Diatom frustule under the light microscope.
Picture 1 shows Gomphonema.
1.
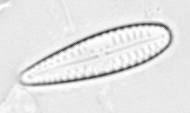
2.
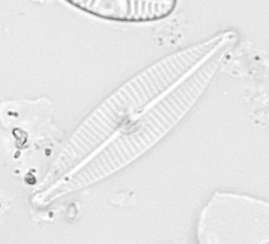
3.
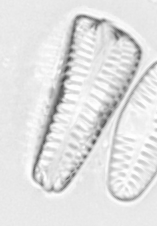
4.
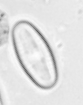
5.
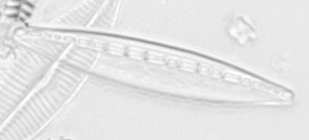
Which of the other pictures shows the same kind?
Picture 3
